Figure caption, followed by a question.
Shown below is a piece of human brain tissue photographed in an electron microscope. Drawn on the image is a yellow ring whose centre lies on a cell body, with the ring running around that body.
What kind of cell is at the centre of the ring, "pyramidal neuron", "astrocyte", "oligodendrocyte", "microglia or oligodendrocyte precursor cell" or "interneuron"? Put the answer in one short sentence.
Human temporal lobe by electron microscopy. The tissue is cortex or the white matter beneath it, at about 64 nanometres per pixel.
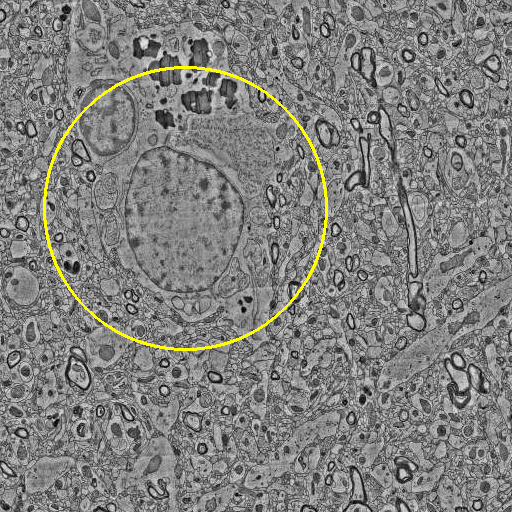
The ring marks the cell body of an astrocyte.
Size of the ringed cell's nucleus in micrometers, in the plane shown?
The nucleus comes to roughly 10 by 8 micrometres in this plane.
